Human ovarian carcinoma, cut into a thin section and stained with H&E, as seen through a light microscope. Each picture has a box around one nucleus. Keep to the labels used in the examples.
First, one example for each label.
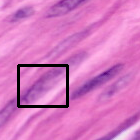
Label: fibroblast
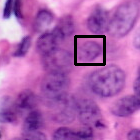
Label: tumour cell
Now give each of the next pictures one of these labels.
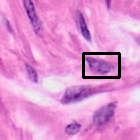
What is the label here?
fibroblast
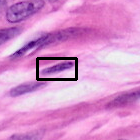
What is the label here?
fibroblast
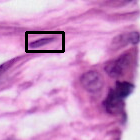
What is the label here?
fibroblast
